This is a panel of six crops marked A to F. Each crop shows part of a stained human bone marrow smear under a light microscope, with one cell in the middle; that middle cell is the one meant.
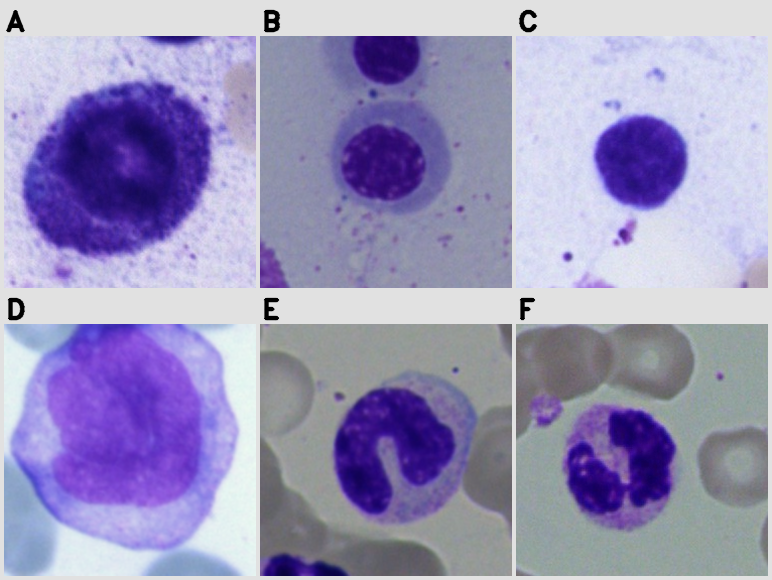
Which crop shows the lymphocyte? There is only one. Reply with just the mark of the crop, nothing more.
C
